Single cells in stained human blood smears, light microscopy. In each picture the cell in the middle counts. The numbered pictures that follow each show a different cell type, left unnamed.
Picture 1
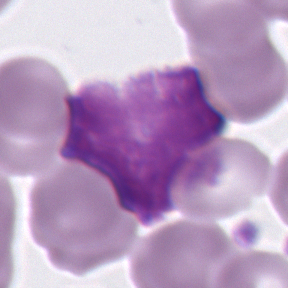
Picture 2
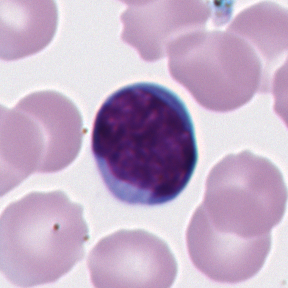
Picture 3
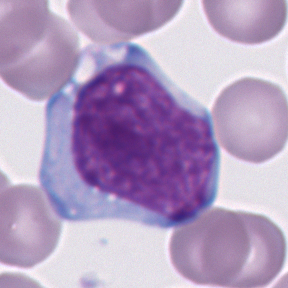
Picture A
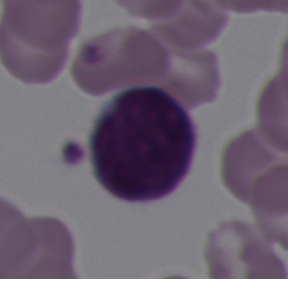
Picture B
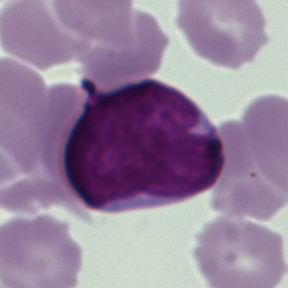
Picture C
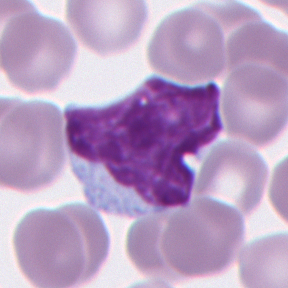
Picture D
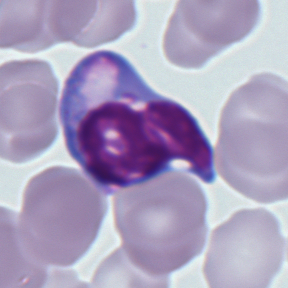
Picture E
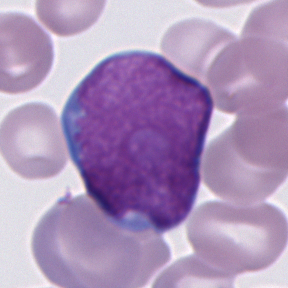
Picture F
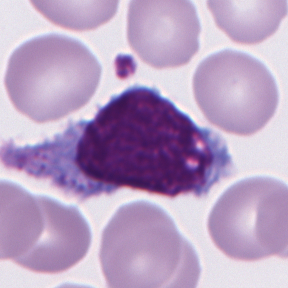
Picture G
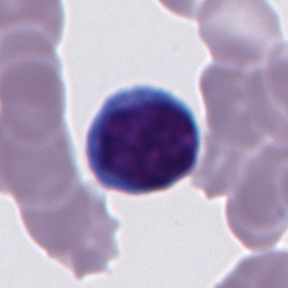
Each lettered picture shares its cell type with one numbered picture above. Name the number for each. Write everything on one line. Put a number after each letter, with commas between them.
A 2, B 3, C 2, D 2, E 3, F 2, G 2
